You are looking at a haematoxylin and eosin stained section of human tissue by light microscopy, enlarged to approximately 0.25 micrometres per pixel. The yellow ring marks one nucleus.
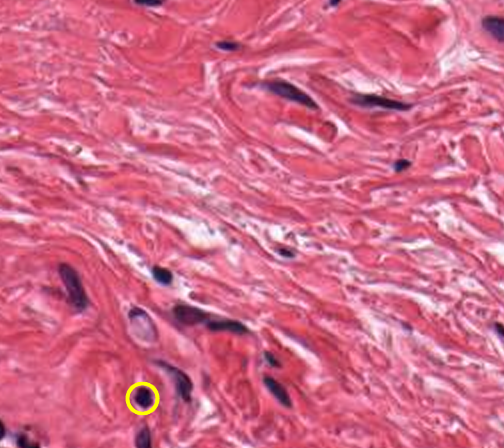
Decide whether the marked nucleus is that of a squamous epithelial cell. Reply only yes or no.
no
